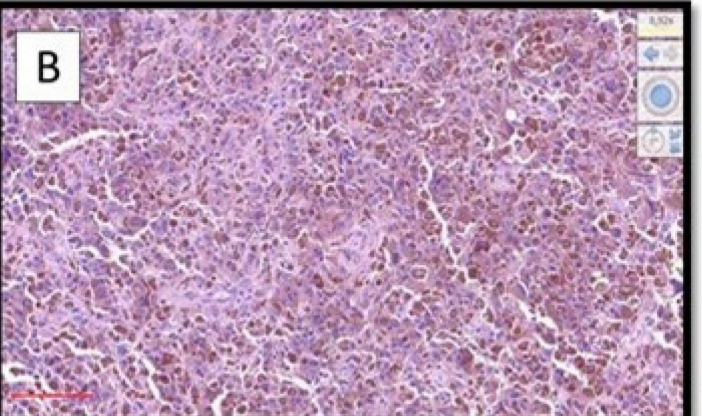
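The cells are packed closely together in solid sheets, with only thin clefts between groups and no organised layering. Many cells have cytoplasm filled with coarse dark brown granular pigment, which in places hides the nucleus. Between the pigmented cells lie cells with pale pink-purple cytoplasm and bluish, ovoid nuclei. The pigment is unevenly spread, giving a mottled brown and purple pattern across the field.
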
